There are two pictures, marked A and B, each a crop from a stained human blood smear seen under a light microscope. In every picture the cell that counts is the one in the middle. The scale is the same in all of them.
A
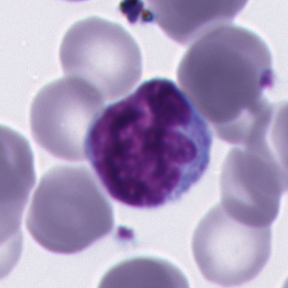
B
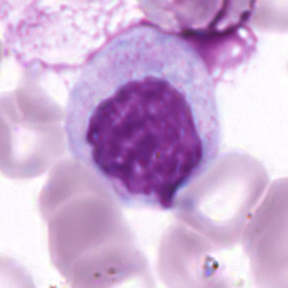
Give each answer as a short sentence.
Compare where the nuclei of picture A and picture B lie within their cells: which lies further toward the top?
The nucleus in picture A lies further toward the top of its cell.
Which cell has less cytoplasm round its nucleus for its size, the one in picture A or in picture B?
In picture A the nucleus takes up the larger part of its cell.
